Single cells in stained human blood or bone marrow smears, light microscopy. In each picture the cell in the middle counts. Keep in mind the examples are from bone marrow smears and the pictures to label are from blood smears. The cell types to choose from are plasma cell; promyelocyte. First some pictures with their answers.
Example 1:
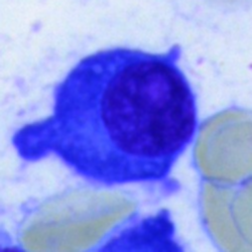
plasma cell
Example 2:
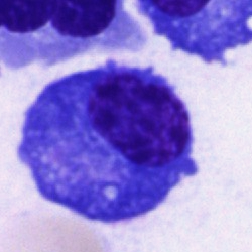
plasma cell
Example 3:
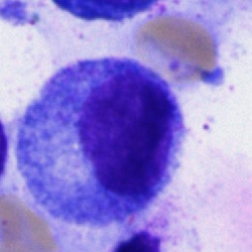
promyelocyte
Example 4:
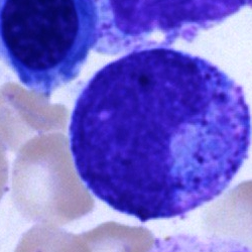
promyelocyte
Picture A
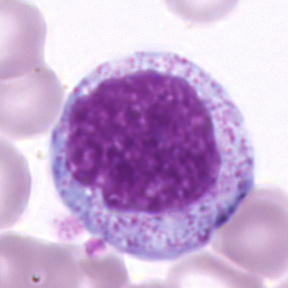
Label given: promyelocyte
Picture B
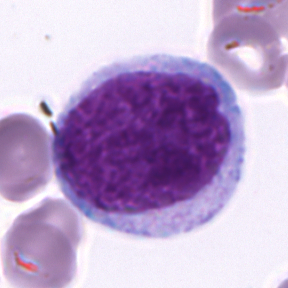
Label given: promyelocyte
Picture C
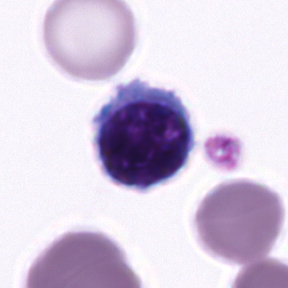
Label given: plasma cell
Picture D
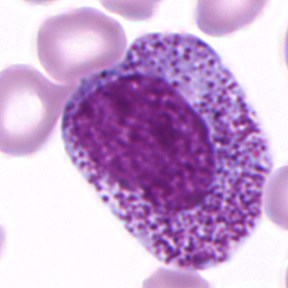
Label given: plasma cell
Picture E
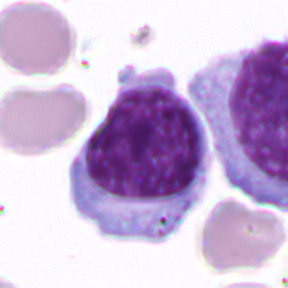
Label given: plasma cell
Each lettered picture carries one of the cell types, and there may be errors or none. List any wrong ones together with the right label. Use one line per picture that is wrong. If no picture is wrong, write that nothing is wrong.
D should be promyelocyte, not plasma cell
